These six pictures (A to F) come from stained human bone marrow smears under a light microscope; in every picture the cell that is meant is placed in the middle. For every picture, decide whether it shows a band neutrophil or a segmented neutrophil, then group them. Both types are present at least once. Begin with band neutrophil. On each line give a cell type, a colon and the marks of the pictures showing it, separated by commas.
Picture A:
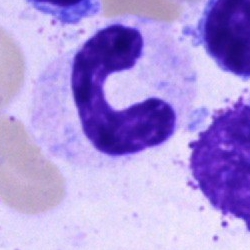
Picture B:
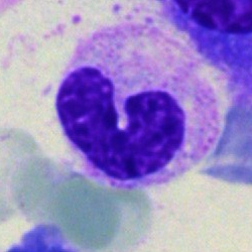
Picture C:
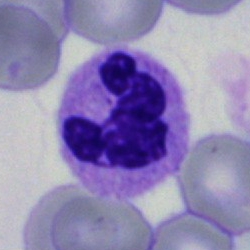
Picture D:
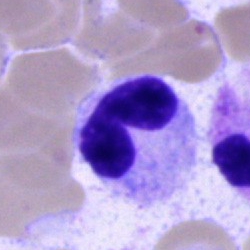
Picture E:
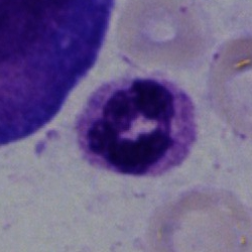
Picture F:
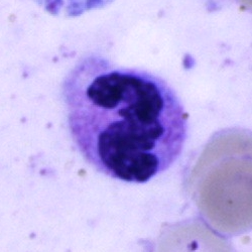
band neutrophil: A, B, D
segmented neutrophil: C, E, F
